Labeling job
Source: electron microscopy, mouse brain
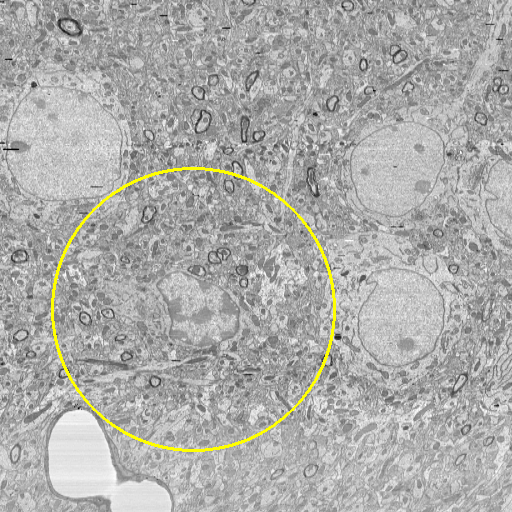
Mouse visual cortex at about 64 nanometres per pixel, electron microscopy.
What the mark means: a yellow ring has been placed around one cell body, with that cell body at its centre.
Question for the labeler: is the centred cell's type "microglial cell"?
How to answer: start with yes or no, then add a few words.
No, its type is another one.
